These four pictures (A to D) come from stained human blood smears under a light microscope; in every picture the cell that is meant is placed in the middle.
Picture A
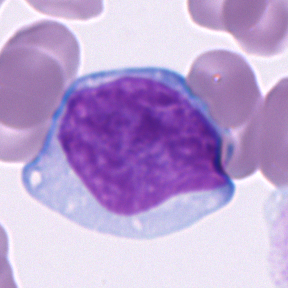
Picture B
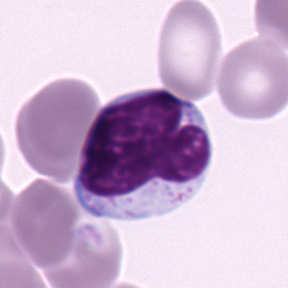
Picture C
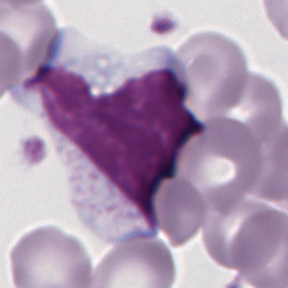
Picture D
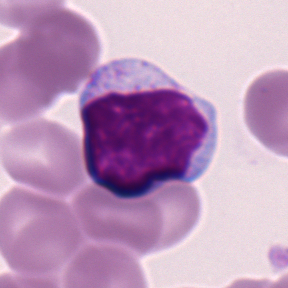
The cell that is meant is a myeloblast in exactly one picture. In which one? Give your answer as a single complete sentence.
Picture A is the one that shows the myeloblast.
